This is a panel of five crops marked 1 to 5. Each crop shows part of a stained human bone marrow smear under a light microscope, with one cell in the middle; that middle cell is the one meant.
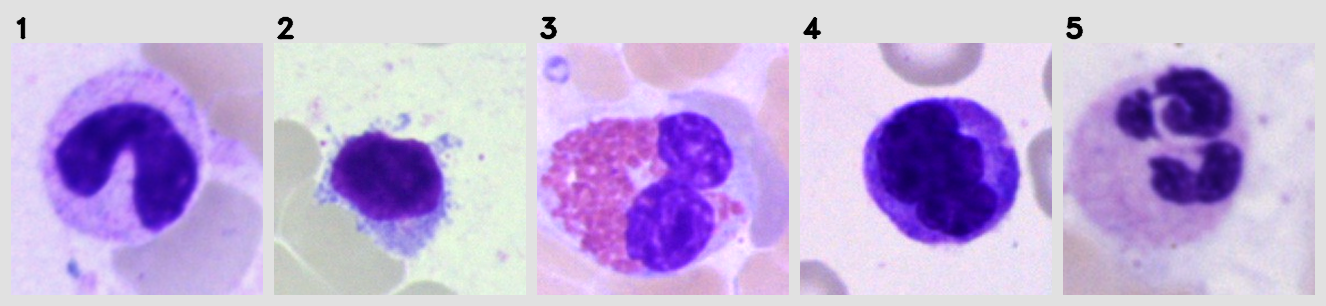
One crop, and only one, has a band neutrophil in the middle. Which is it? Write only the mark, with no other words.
1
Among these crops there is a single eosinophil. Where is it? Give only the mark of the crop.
3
